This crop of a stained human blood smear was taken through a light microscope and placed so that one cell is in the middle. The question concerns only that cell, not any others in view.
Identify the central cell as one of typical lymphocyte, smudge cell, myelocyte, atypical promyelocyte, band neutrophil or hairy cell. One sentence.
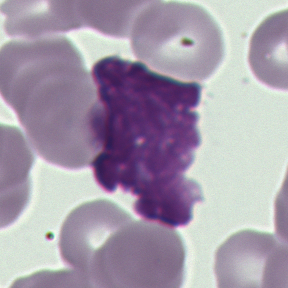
Whatever else lies nearby, the middle cell is a smudge cell.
